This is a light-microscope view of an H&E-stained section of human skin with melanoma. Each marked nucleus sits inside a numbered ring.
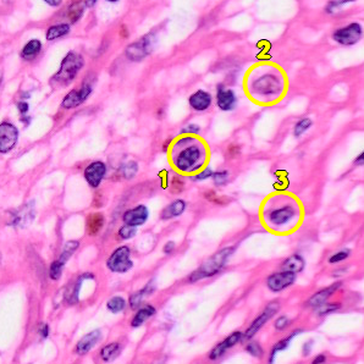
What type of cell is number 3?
lymphocyte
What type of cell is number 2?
macrophage or monocyte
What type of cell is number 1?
plasma cell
